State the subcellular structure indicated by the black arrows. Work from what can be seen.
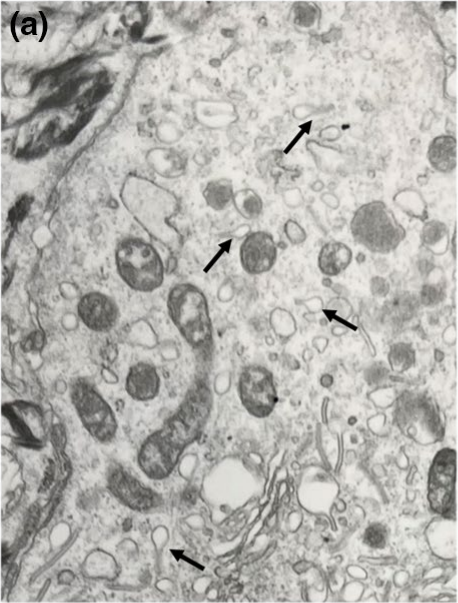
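The arrows point at small membrane-bound profiles in the cytoplasm. Several of these profiles are rod-like with a rounded bulb at one end, like a tennis racket. They lie among mitochondria and other vesicles. That points to this answer: Birbeck granules.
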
